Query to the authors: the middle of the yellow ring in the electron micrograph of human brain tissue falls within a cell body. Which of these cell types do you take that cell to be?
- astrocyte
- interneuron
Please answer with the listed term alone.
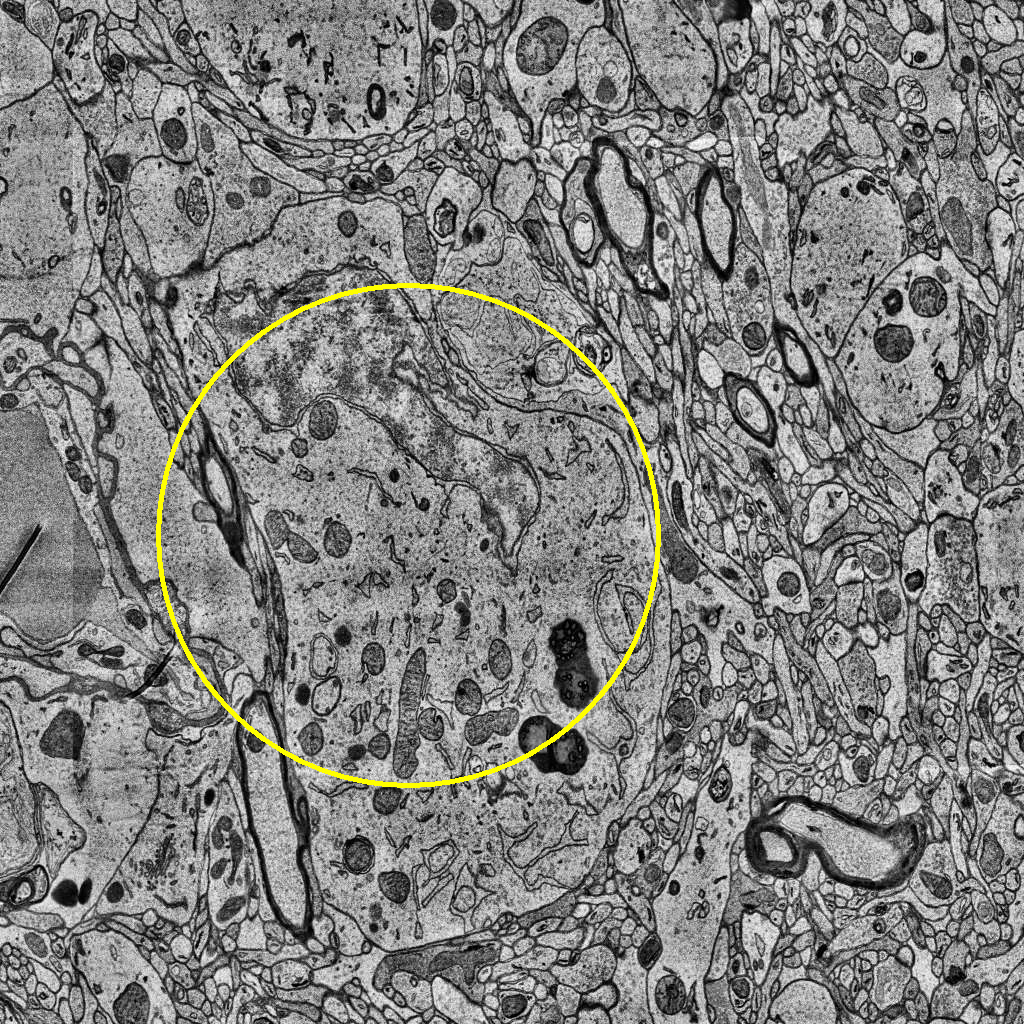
interneuron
